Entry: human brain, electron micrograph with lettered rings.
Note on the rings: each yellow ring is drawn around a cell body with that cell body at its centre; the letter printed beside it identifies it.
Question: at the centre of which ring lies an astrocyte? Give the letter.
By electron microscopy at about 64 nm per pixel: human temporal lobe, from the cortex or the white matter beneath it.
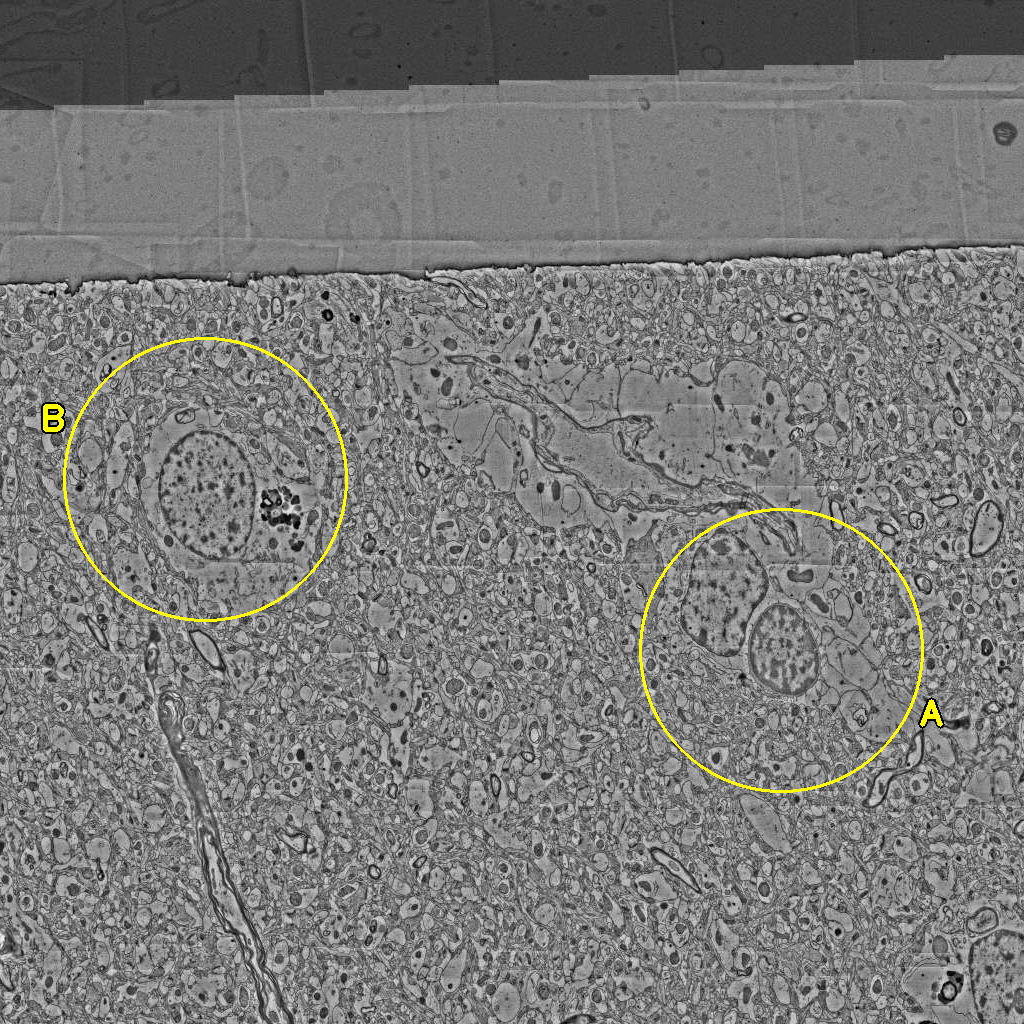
B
